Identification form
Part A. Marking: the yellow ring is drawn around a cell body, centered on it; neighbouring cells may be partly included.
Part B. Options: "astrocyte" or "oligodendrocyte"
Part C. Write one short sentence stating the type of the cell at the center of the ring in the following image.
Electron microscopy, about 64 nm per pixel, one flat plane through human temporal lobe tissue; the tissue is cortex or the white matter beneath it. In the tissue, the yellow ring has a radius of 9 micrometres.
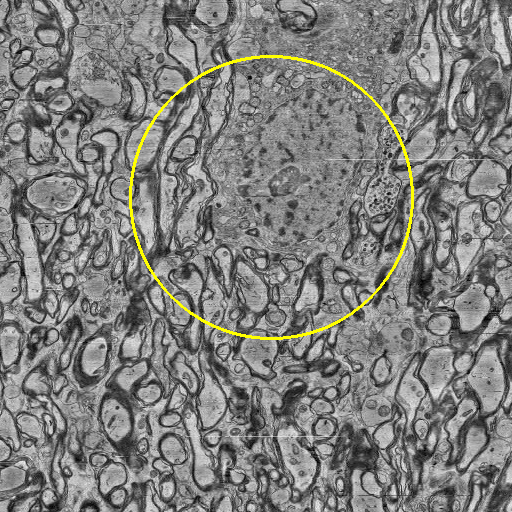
The center of the ring holds an astrocyte.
